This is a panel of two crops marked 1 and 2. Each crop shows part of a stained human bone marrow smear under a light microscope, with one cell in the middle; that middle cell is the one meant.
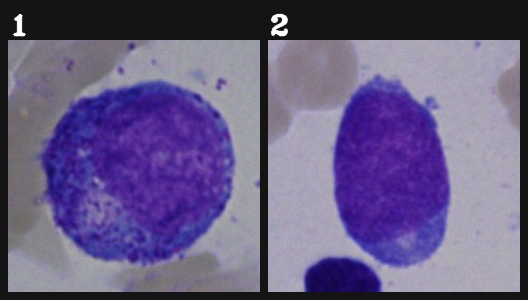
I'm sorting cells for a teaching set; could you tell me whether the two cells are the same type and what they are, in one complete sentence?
No, it is in crop 1 that a promyelocyte is shown, and in crop 2 that a blast is shown.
